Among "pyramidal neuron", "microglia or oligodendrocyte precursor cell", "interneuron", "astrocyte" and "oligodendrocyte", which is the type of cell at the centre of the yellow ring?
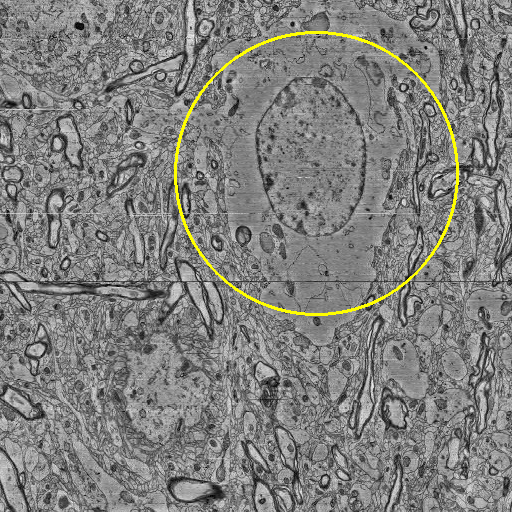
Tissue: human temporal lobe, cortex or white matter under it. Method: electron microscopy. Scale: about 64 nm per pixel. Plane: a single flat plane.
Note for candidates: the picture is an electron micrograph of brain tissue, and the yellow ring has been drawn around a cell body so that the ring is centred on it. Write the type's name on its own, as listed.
astrocyte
